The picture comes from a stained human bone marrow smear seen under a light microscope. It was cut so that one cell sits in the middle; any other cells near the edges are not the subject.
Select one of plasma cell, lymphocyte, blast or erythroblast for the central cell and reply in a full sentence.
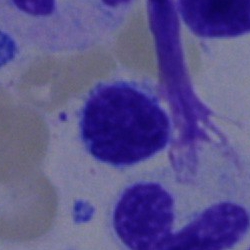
Regarding the central cell, it is a lymphocyte.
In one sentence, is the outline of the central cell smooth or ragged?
Its outline is ragged or drawn out into projections, not smooth.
